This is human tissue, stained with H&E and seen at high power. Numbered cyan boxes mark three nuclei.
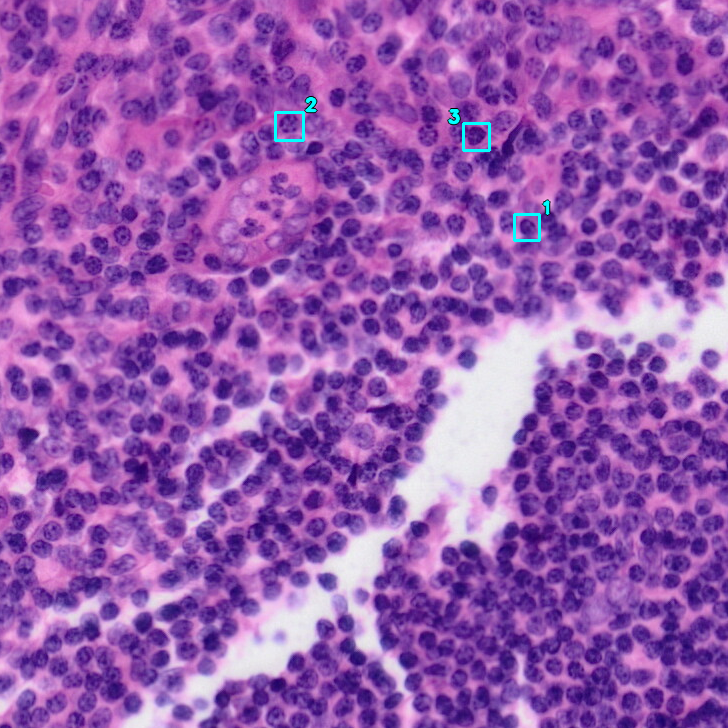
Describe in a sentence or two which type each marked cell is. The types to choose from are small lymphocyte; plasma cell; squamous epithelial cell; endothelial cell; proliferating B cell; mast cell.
Cell 1 is a small lymphocyte, cell 2 is a plasma cell and cell 3 is a plasma cell.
